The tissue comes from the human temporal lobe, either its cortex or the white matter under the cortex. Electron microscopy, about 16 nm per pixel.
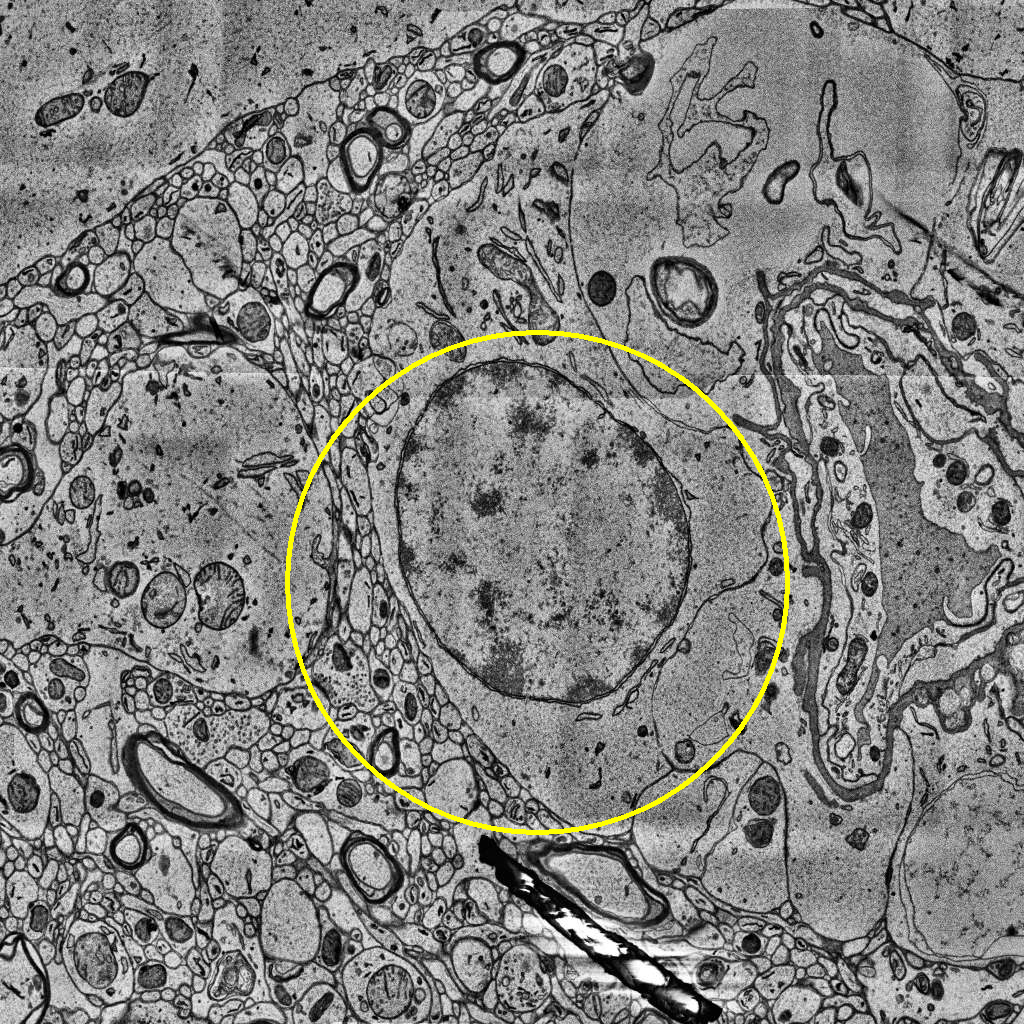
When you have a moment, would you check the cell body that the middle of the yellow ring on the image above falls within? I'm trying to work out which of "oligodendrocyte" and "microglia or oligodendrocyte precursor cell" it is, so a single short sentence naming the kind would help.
This cell body belongs to a microglial cell or oligodendrocyte precursor cell.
